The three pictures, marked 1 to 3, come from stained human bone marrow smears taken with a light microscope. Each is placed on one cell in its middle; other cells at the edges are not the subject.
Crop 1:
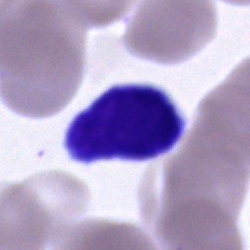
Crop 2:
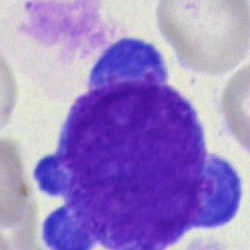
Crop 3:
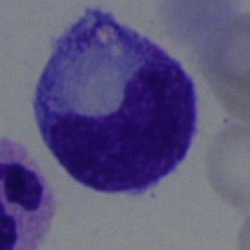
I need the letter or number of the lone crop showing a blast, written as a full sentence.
The crop marked 2 is the one in which a blast is shown.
